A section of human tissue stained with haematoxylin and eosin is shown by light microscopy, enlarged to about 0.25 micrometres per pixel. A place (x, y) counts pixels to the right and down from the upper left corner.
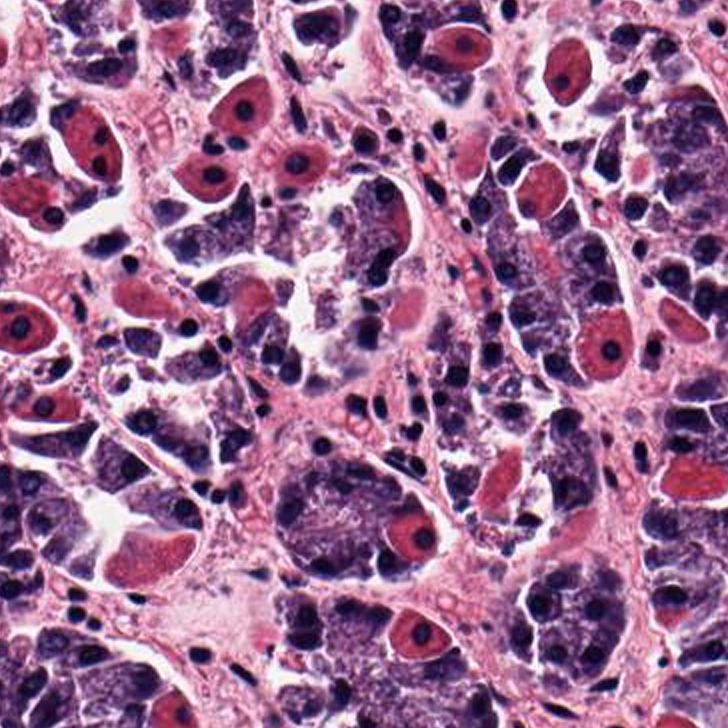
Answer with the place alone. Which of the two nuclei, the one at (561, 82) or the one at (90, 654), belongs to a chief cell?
(90, 654)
